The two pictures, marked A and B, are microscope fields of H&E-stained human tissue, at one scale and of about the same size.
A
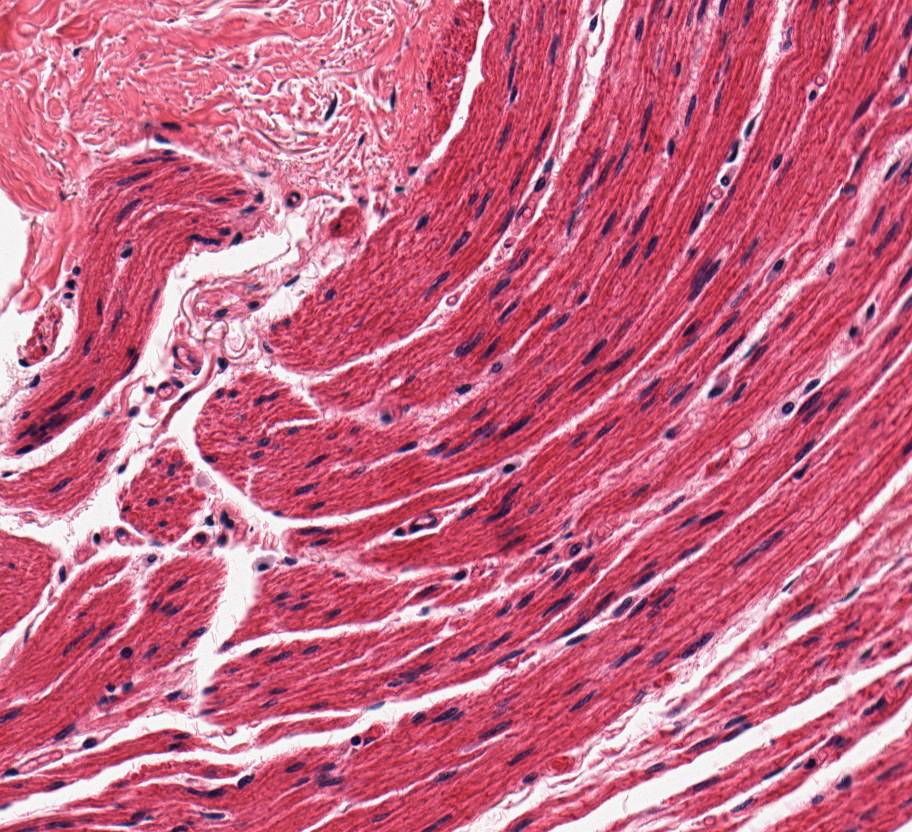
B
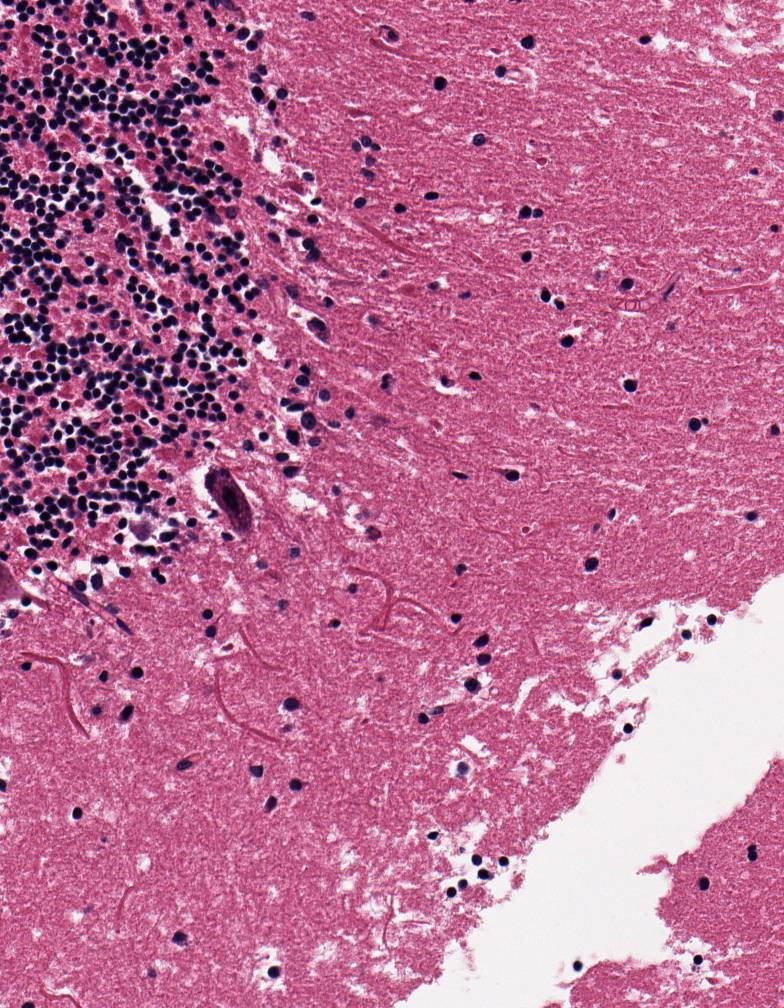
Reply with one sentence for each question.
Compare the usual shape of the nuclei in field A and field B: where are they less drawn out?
The nuclei are rounder in field B.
